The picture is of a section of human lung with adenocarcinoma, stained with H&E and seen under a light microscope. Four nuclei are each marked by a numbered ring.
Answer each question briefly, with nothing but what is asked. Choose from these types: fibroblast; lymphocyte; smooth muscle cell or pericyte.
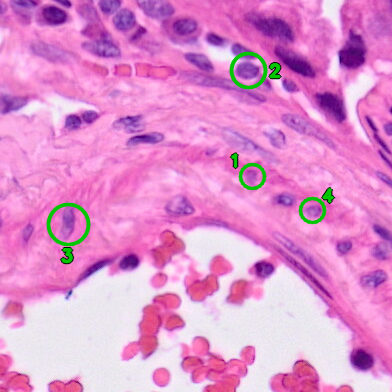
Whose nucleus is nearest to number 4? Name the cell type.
smooth muscle cell or pericyte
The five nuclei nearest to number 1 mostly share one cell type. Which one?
fibroblast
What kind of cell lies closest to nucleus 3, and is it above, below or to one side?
a smooth muscle cell or pericyte to the left of nucleus 3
